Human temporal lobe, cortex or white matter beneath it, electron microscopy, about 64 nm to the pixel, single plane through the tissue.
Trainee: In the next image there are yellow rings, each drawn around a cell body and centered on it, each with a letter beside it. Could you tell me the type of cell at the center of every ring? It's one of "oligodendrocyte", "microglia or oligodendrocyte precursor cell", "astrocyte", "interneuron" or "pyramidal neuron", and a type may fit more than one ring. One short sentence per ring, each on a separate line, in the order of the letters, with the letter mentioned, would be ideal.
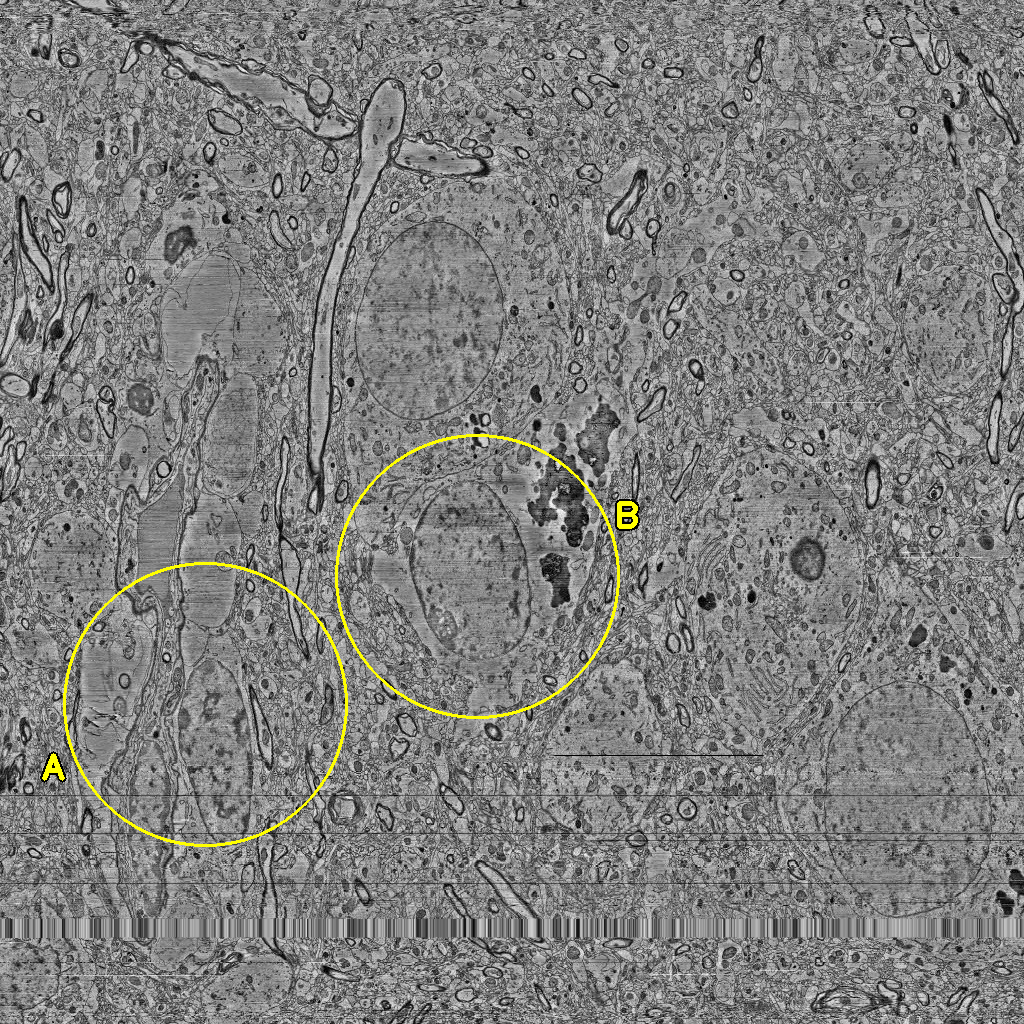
What ring A is centered on is a microglial cell or oligodendrocyte precursor cell.
What ring B is centered on is an astrocyte.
